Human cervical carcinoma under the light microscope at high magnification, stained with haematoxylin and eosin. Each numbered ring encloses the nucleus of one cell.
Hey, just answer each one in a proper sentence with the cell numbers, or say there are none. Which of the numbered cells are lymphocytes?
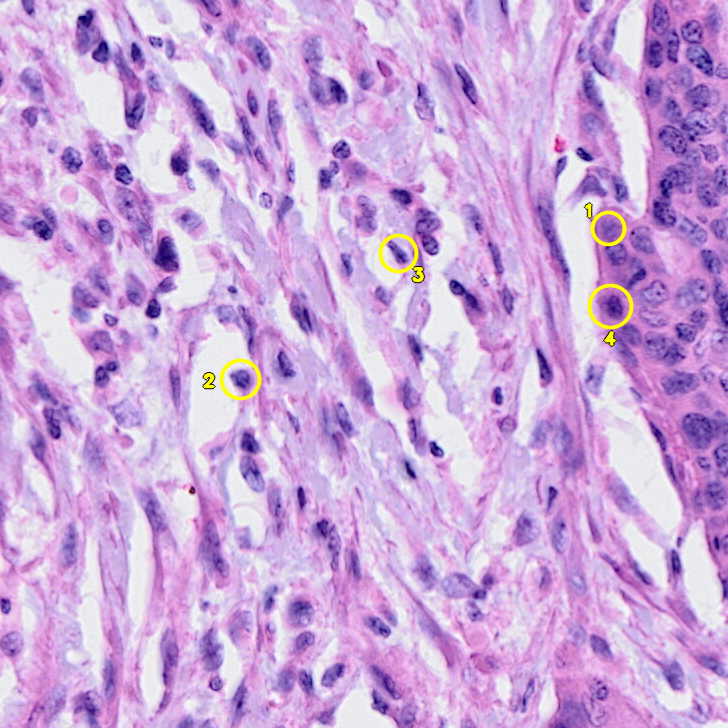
The cells to which the numbers 2 and 3 refer are lymphocytes.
